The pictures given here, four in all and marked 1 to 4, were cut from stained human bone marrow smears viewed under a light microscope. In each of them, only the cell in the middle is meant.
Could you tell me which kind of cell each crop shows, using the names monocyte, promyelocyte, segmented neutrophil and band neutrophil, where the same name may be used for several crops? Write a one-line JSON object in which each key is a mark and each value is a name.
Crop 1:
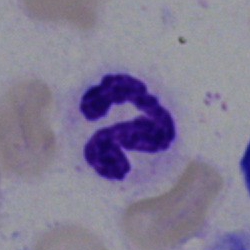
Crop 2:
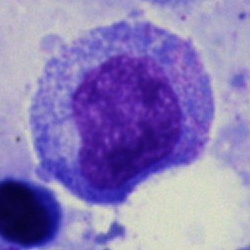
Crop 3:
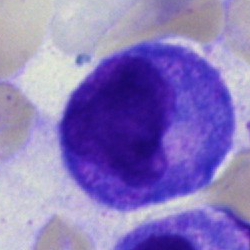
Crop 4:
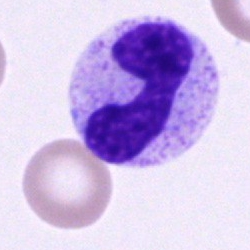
{"1": "segmented neutrophil", "2": "promyelocyte", "3": "promyelocyte", "4": "band neutrophil"}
